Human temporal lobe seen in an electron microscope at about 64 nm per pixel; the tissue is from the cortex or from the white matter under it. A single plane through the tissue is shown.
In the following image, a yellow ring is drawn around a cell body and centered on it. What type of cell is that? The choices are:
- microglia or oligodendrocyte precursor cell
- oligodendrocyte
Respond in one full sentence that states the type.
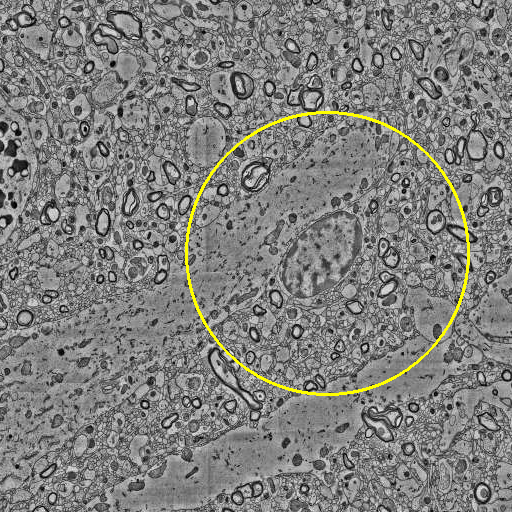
The cell at the center of the yellow ring in the image is a microglial cell or oligodendrocyte precursor cell.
